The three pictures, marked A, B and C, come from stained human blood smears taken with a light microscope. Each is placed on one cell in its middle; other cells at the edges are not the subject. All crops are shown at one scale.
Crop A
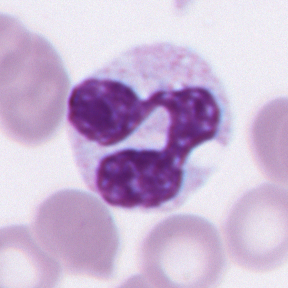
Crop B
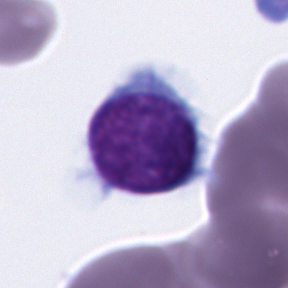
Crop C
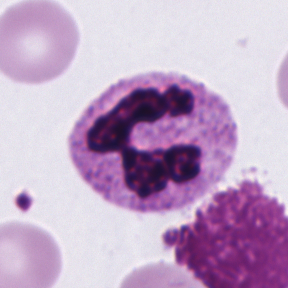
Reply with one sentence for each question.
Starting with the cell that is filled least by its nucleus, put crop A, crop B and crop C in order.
The least filled comes first: C, A, B.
